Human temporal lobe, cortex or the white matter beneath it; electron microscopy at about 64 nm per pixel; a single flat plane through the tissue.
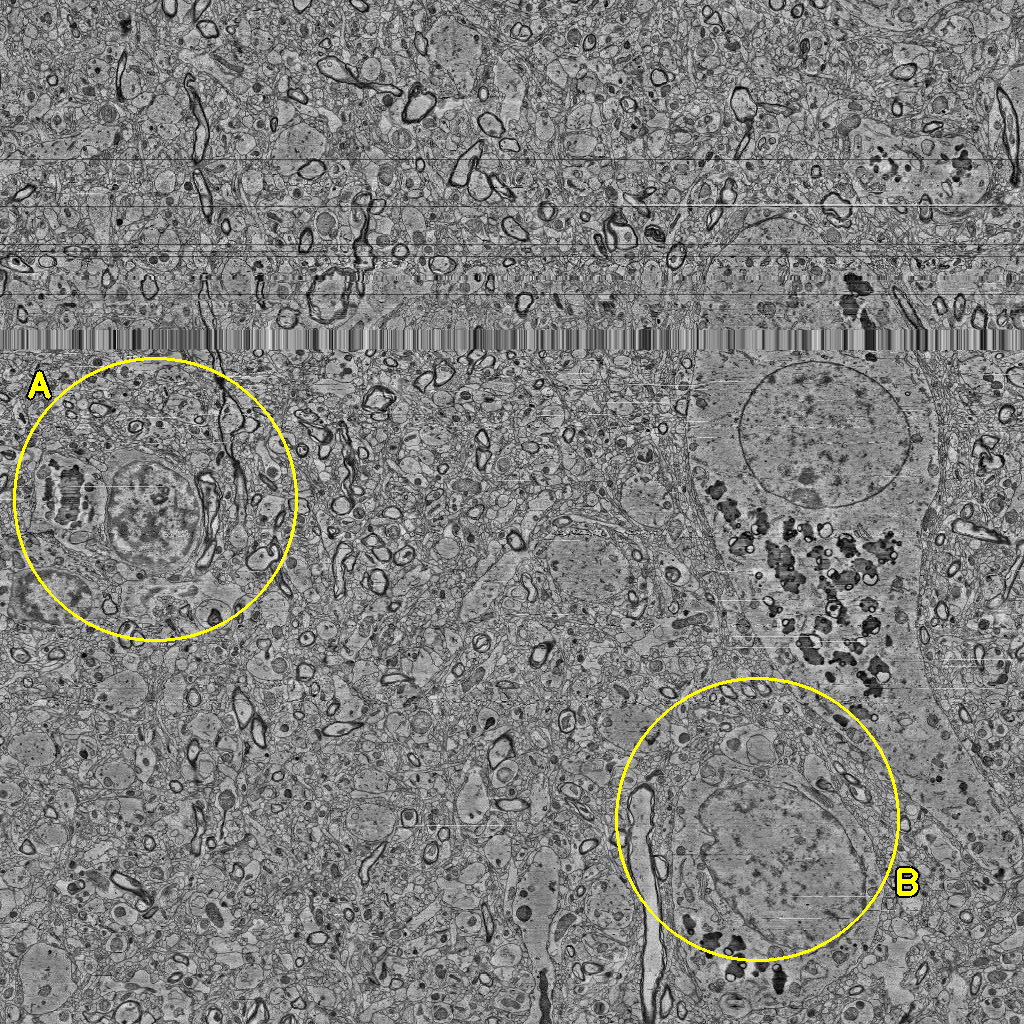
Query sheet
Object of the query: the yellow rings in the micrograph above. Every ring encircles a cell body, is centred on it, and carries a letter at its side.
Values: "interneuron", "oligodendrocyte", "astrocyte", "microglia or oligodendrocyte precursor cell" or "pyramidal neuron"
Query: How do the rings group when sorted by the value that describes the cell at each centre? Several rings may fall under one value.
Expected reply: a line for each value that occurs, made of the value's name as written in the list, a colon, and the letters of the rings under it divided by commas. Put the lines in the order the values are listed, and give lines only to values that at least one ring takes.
interneuron: B
oligodendrocyte: A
